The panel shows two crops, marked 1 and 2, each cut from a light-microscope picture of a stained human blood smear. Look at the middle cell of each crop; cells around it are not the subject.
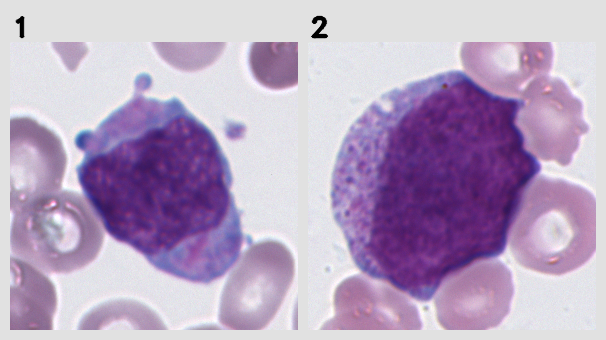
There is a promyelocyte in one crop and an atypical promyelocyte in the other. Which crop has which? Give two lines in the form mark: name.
1: atypical promyelocyte
2: promyelocyte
